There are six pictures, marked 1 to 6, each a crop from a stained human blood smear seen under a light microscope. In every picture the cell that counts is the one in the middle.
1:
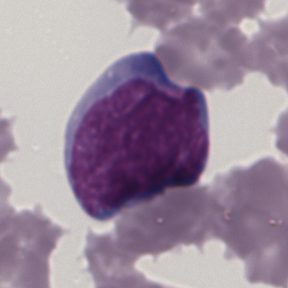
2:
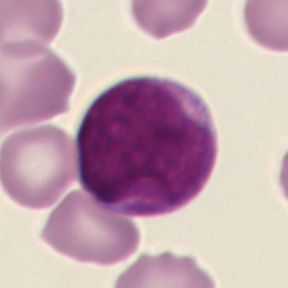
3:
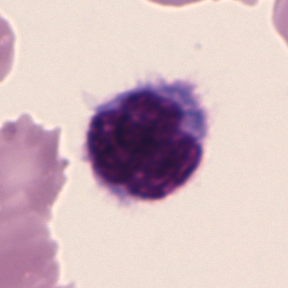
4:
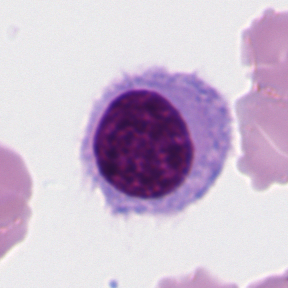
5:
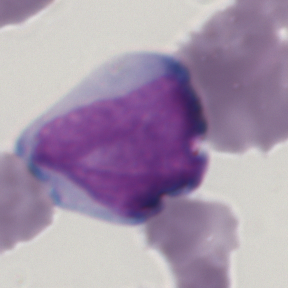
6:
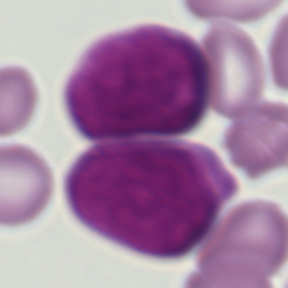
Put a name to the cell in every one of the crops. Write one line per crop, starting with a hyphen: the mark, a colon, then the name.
- 1: myeloblast
- 2: myeloblast
- 3: hairy cell
- 4: hairy cell
- 5: myeloblast
- 6: myeloblast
